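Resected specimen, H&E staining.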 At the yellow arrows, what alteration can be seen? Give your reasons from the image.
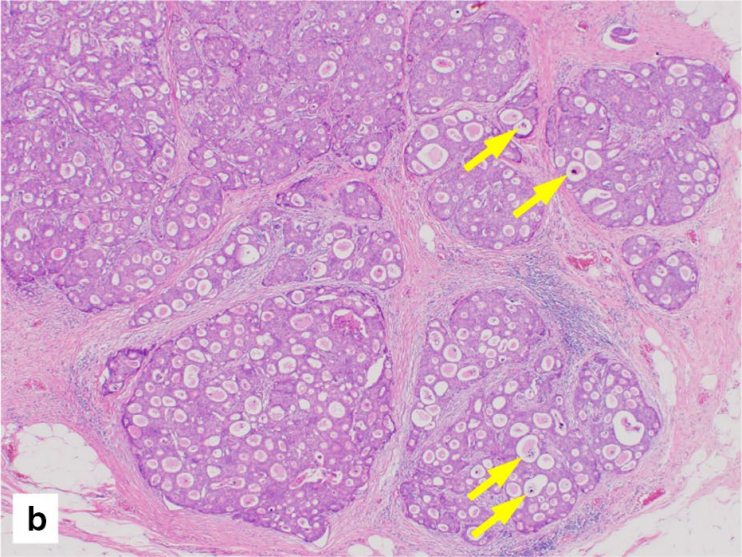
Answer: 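Microcalcification. Small, dense, dark purple round bodies sit inside the gland-like lumens where the yellow arrows point. Each body is much smaller than the lumen around it and sharply outlined.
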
